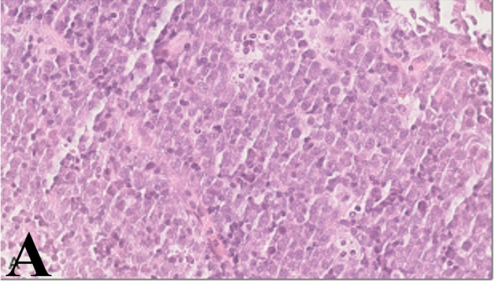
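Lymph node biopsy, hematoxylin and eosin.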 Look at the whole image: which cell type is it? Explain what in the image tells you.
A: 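Sheets of densely packed, discohesive cells. Nuclei are oval and larger than those of the scattered small round cells. Cytoplasm is bluish-purple. On this evidence: Large lymphoid cells.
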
